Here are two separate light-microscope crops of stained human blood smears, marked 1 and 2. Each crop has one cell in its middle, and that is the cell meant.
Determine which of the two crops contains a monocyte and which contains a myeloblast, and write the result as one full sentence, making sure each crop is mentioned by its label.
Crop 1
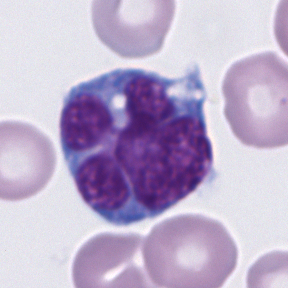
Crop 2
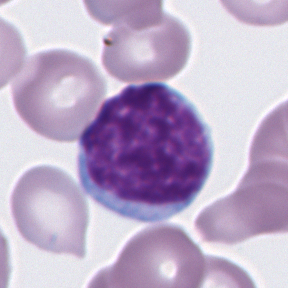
In crop 2 the central cell is a myeloblast, and in crop 1 it is a monocyte.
